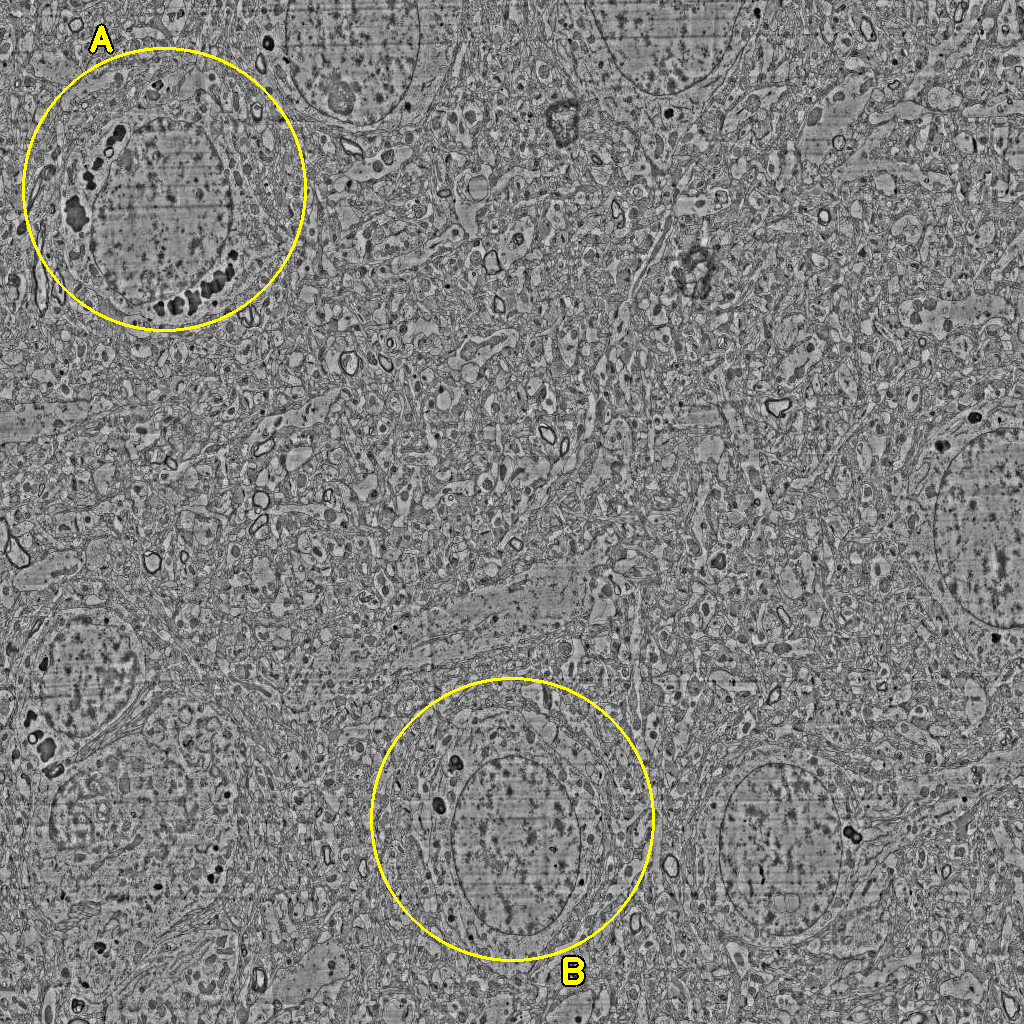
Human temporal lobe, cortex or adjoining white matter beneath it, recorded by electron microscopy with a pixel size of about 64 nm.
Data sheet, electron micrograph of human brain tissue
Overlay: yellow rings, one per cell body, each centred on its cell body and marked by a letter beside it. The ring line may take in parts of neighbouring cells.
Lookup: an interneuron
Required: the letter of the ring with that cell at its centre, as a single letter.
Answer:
A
